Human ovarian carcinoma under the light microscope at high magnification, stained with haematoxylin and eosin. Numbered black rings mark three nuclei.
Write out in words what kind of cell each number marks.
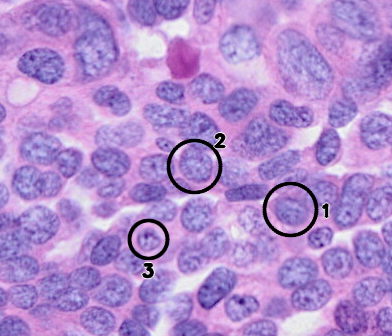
Cell 1 is a carcinoma cell, cell 2 is a carcinoma cell and cell 3 is a macrophage or monocyte.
